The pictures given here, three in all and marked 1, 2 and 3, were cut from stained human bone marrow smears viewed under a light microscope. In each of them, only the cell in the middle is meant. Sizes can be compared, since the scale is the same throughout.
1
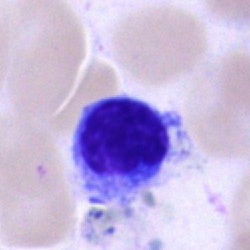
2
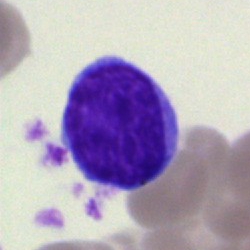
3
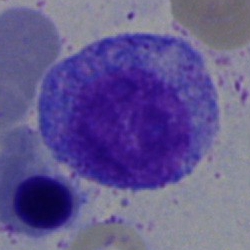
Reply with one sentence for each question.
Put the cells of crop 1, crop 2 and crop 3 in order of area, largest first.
From the largest down, the order is 3, 2, 1.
